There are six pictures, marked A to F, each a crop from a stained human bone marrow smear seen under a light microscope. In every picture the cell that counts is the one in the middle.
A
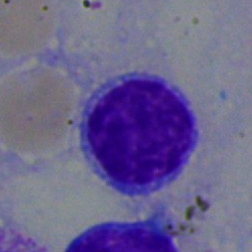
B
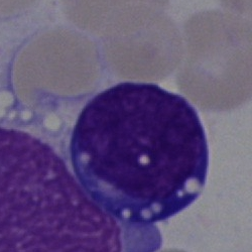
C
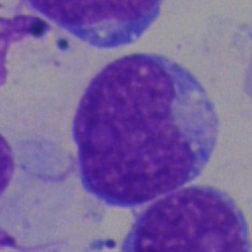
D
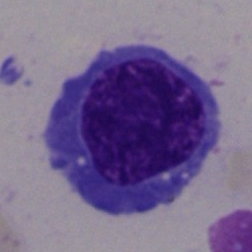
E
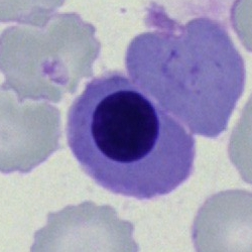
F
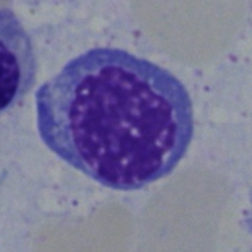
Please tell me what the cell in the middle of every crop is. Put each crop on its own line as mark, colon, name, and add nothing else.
A: lymphocyte
B: blast
C: blast
D: erythroblast
E: erythroblast
F: erythroblast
